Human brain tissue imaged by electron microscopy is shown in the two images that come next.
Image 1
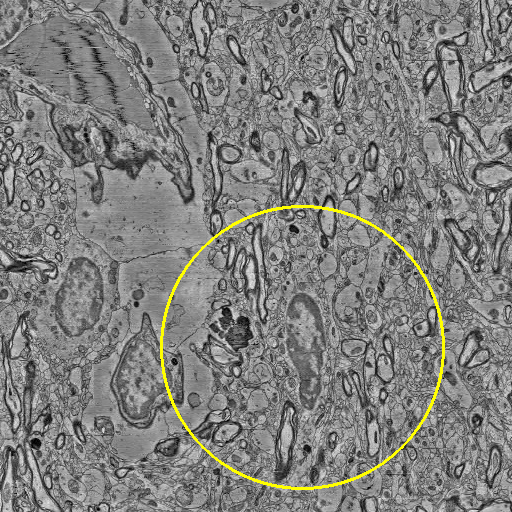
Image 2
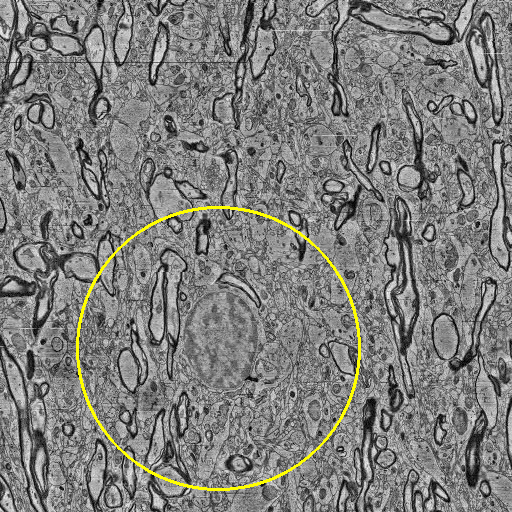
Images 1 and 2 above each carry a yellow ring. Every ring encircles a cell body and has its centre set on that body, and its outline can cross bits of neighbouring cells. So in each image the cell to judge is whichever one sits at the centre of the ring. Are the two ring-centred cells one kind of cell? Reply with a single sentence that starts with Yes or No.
No, in Image 1 and Image 2 the cells at the centres of their rings fall into two types.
